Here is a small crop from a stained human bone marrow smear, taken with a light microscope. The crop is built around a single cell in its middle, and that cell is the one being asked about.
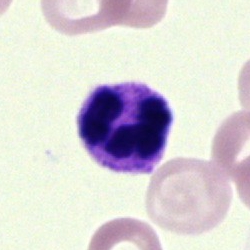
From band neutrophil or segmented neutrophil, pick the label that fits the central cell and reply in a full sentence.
In the middle of this smear crop is a segmented neutrophil.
